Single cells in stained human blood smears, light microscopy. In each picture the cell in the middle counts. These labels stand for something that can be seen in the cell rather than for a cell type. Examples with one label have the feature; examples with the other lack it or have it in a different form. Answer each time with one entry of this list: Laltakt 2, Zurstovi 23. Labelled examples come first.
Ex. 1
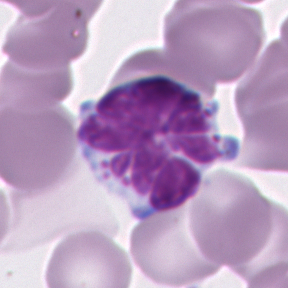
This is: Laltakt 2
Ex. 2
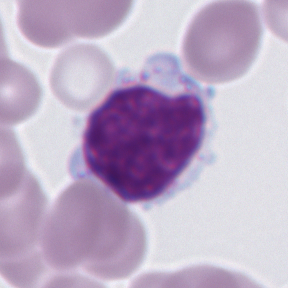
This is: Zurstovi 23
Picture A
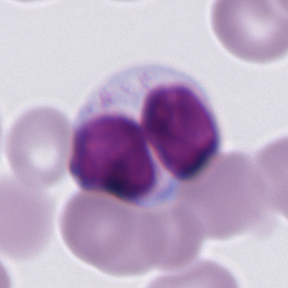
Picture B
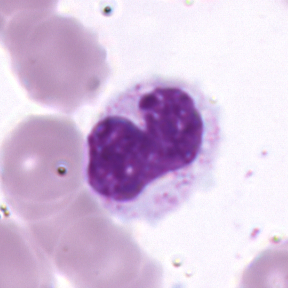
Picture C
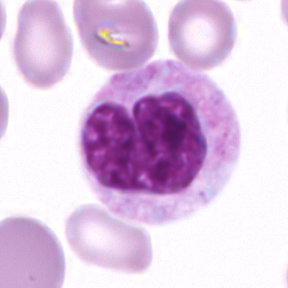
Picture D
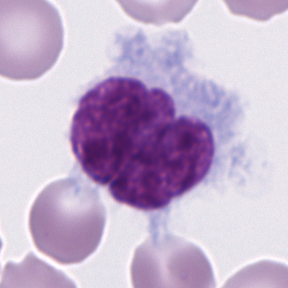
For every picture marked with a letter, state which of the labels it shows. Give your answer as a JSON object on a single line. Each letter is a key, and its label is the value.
{"A": "Laltakt 2", "B": "Zurstovi 23", "C": "Laltakt 2", "D": "Laltakt 2"}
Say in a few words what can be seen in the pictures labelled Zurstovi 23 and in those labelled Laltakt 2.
Zurstovi 23: single compact nucleus; Laltakt 2: lobed nucleus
